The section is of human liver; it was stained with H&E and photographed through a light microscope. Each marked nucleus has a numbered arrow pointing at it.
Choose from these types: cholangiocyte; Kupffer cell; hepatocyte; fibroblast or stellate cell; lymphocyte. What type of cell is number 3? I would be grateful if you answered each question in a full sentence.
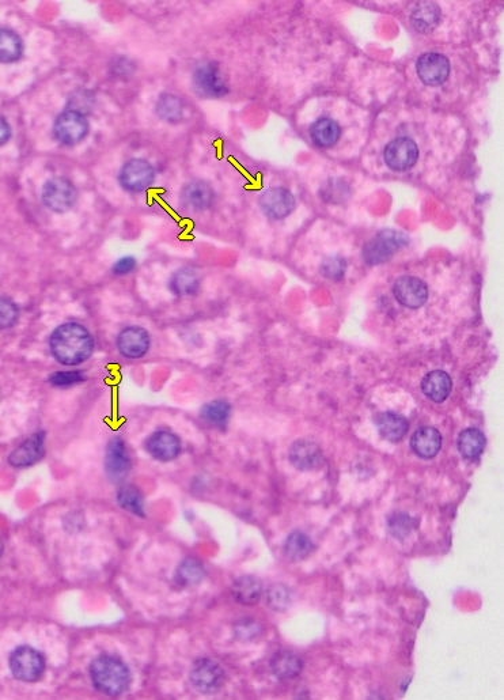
The correct answer for cell 3 is a fibroblast or stellate cell.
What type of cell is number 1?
The marked cell bearing number 1 is a hepatocyte.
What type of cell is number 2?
The cell pointed out by number 2 is a hepatocyte.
